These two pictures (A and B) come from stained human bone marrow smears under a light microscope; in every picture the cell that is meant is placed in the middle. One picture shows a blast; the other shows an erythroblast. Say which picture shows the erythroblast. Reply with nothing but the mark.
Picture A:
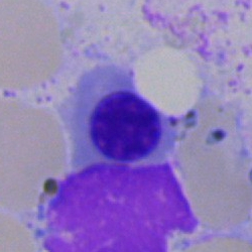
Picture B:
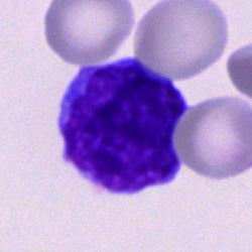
A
